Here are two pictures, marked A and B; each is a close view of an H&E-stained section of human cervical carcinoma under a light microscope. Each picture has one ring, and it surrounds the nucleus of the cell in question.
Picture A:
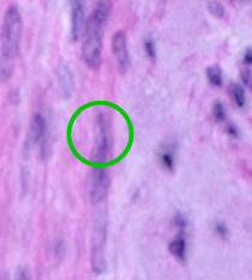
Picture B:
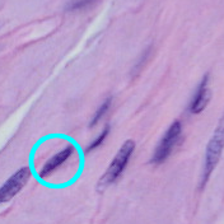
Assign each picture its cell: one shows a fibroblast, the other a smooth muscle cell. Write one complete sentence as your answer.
The cell in picture A is a smooth muscle cell, and the one in picture B is a fibroblast.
